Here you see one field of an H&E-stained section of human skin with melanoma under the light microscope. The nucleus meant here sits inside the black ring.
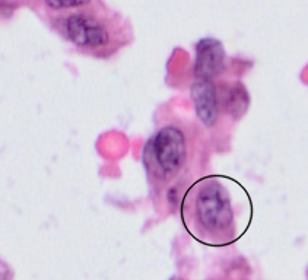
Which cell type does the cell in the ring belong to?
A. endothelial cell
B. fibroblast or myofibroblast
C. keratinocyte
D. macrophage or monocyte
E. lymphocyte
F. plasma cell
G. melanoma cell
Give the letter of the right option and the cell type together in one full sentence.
Option G, which has the cell in the ring as a melanoma cell, is the correct choice.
